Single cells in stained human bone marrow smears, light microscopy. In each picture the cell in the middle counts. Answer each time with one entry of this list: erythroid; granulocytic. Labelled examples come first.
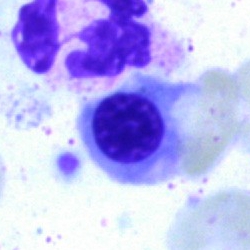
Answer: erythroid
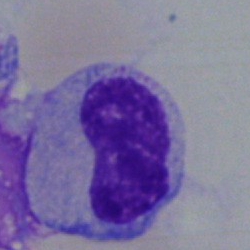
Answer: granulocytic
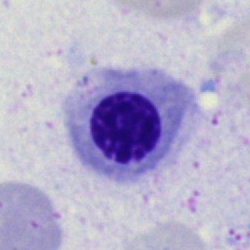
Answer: erythroid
